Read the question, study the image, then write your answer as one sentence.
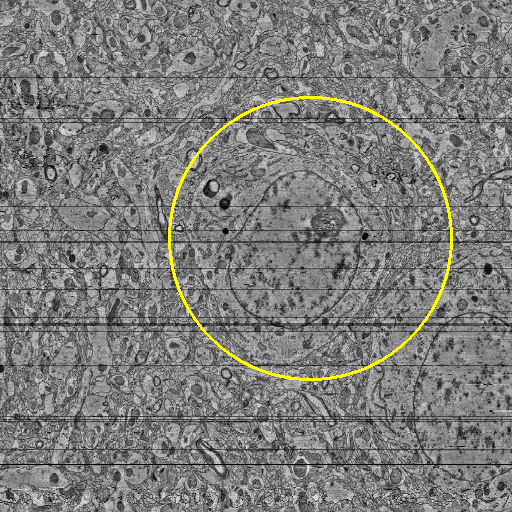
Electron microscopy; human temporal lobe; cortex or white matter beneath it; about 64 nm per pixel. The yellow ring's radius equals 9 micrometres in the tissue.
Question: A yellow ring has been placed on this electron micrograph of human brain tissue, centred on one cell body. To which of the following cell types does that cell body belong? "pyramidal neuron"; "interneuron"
That cell body belongs to a pyramidal neuron.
